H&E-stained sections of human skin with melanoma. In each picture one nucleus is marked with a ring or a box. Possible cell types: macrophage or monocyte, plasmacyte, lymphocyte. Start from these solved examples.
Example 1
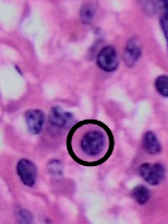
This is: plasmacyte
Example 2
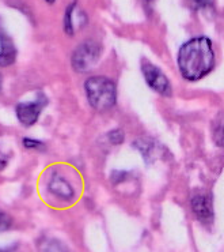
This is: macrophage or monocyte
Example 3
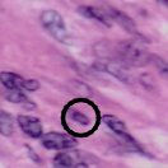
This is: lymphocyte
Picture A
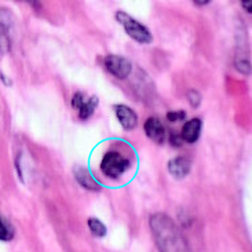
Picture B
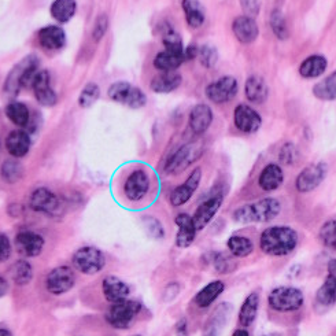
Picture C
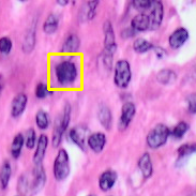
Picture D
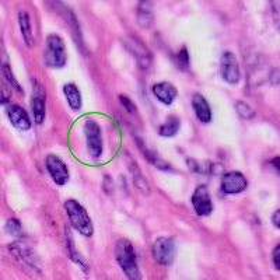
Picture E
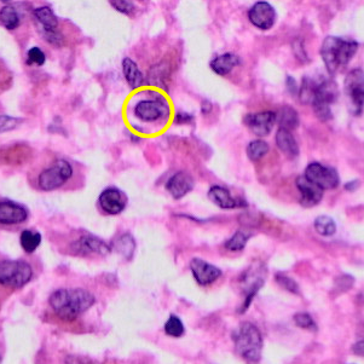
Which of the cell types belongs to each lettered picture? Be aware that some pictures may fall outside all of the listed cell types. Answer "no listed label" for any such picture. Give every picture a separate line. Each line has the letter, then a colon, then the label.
A: plasmacyte
B: plasmacyte
C: plasmacyte
D: lymphocyte
E: macrophage or monocyte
